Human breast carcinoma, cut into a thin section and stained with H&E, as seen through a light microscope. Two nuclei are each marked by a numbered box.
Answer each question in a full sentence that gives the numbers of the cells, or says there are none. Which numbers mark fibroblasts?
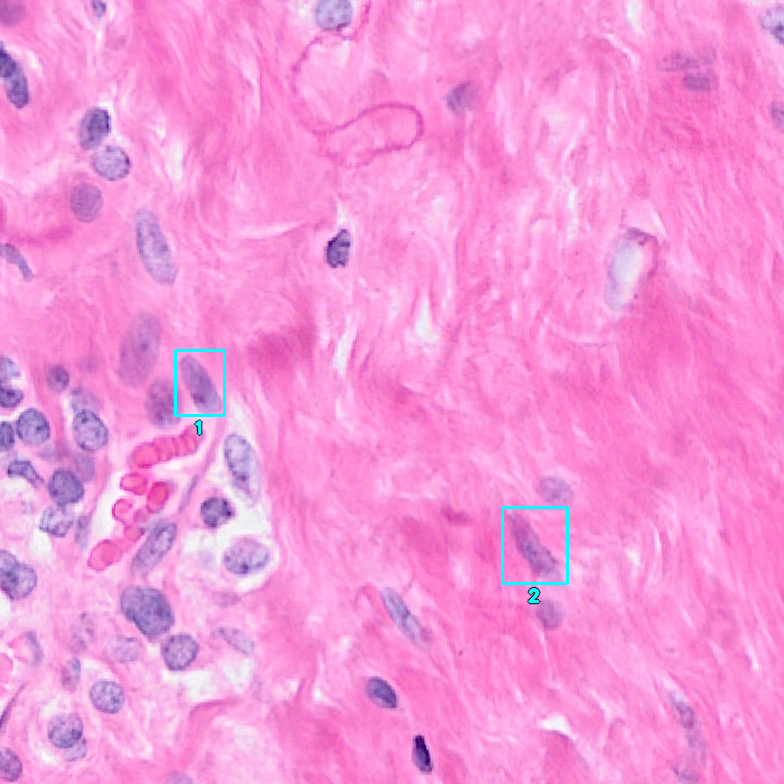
Cell 2 is a fibroblast, which is true of none of the other numbered cells.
